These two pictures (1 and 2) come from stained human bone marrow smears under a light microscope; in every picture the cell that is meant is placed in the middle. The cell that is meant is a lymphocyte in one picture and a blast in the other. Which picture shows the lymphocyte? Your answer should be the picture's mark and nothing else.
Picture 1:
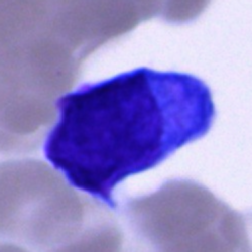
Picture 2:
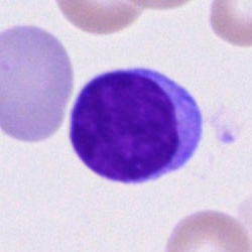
2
